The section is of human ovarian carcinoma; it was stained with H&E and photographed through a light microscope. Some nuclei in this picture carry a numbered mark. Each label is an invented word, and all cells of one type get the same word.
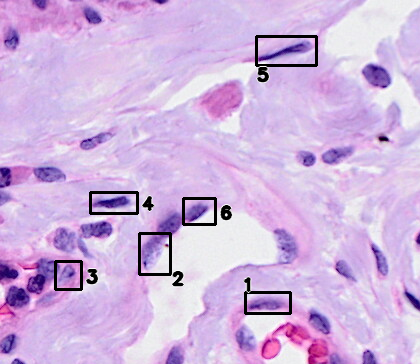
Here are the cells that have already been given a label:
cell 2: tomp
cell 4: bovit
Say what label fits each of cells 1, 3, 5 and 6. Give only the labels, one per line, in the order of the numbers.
tomp
tomp
bovit
tomp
